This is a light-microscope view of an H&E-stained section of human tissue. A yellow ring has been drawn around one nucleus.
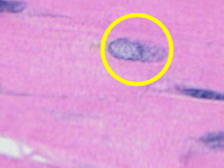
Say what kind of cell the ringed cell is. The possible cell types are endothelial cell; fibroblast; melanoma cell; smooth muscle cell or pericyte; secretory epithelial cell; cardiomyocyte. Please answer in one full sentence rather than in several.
Typologically, the ringed cell is a cardiomyocyte in this section.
